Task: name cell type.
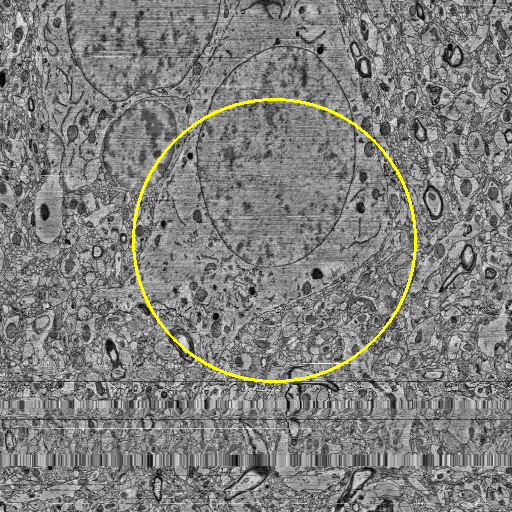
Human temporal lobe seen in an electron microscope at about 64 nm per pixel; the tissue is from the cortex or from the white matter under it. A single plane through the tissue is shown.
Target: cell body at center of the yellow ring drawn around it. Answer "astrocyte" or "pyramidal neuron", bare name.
pyramidal neuron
